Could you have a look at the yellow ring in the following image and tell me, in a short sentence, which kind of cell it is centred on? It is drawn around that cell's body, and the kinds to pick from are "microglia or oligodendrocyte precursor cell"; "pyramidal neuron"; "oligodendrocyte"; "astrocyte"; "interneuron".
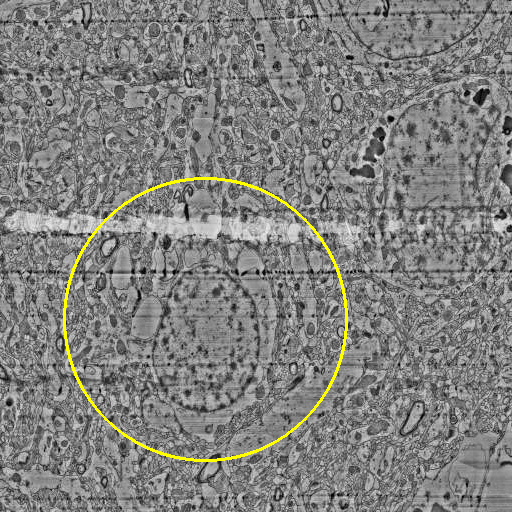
The ring is centred on the body of an astrocyte.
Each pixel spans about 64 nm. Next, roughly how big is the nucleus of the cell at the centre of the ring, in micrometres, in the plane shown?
The nucleus measures about 9 by 7 micrometres in this plane.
